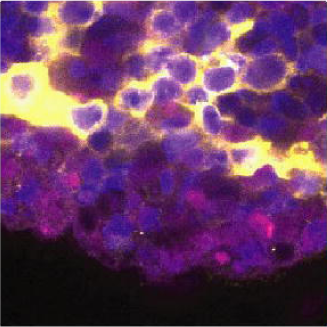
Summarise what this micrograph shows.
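Many small round cells have yellow cytoplasm around relatively large nuclei and lie grouped together in bands near the upper part of the field. Toward the lower edge the tissue consists mainly of cells with blue nuclei and little yellow.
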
